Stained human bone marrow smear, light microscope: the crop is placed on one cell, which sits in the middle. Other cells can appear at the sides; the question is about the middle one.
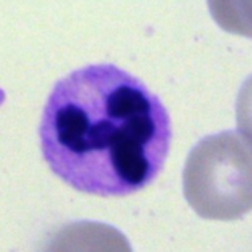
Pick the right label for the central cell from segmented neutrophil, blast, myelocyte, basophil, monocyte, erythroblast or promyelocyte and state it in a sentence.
The identification for the central cell is a segmented neutrophil.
